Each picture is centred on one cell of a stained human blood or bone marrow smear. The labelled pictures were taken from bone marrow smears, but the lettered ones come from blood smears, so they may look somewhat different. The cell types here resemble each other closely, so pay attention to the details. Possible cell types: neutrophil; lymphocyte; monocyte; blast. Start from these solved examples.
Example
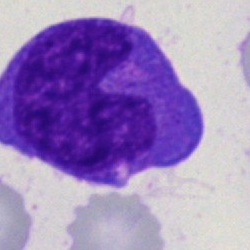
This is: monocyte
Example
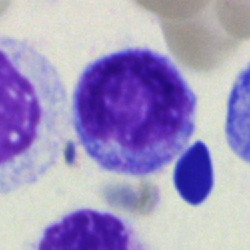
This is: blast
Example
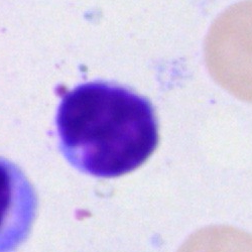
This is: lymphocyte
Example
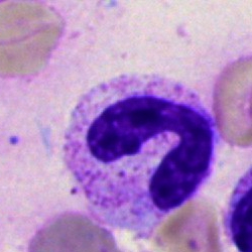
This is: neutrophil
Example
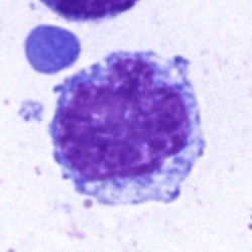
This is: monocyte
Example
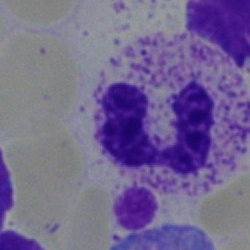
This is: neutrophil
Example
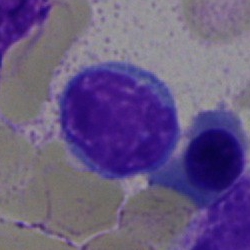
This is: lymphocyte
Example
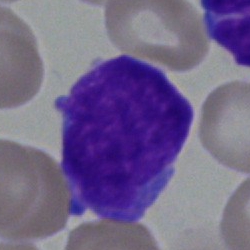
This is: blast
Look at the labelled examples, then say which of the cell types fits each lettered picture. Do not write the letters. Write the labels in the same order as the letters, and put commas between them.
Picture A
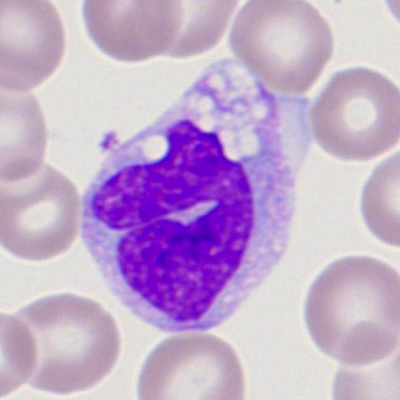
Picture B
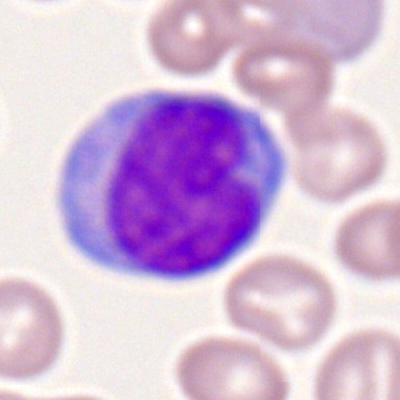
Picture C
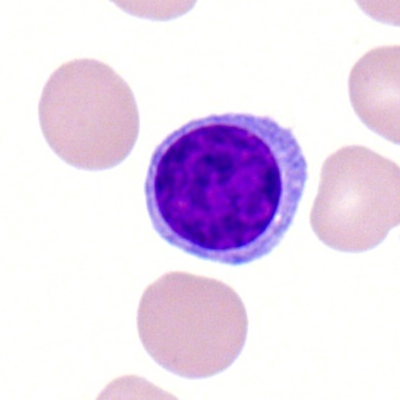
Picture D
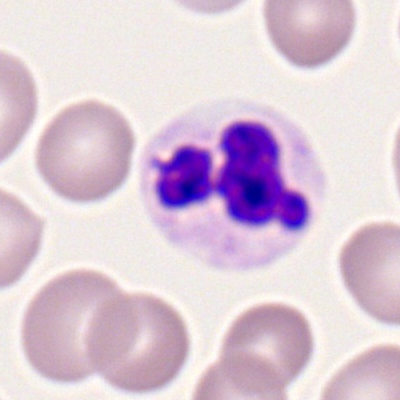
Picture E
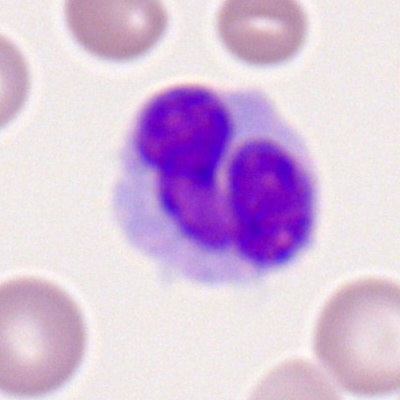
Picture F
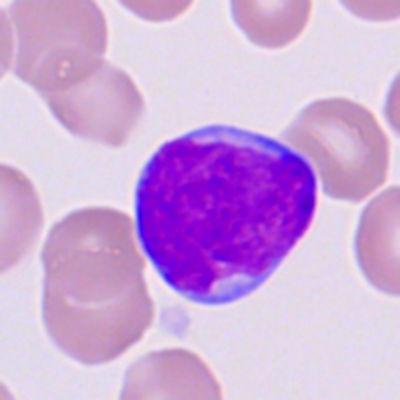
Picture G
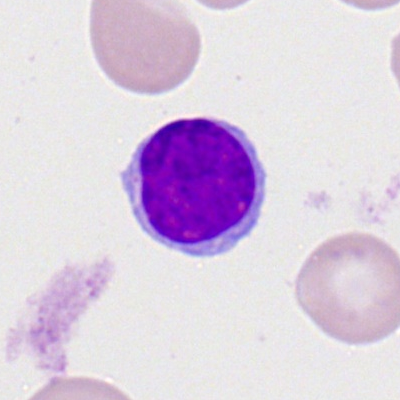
monocyte, monocyte, lymphocyte, neutrophil, monocyte, blast, lymphocyte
